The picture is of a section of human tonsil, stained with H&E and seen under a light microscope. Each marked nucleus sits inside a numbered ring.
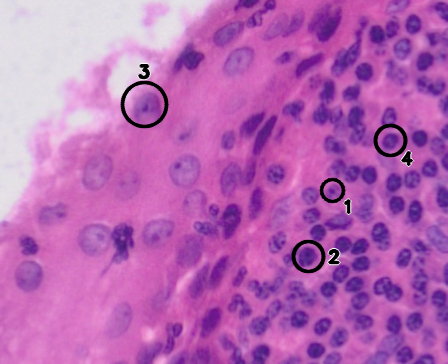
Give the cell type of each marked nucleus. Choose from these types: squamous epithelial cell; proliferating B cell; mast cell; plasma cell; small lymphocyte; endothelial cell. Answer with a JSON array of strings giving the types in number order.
["plasma cell", "plasma cell", "squamous epithelial cell", "plasma cell"]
